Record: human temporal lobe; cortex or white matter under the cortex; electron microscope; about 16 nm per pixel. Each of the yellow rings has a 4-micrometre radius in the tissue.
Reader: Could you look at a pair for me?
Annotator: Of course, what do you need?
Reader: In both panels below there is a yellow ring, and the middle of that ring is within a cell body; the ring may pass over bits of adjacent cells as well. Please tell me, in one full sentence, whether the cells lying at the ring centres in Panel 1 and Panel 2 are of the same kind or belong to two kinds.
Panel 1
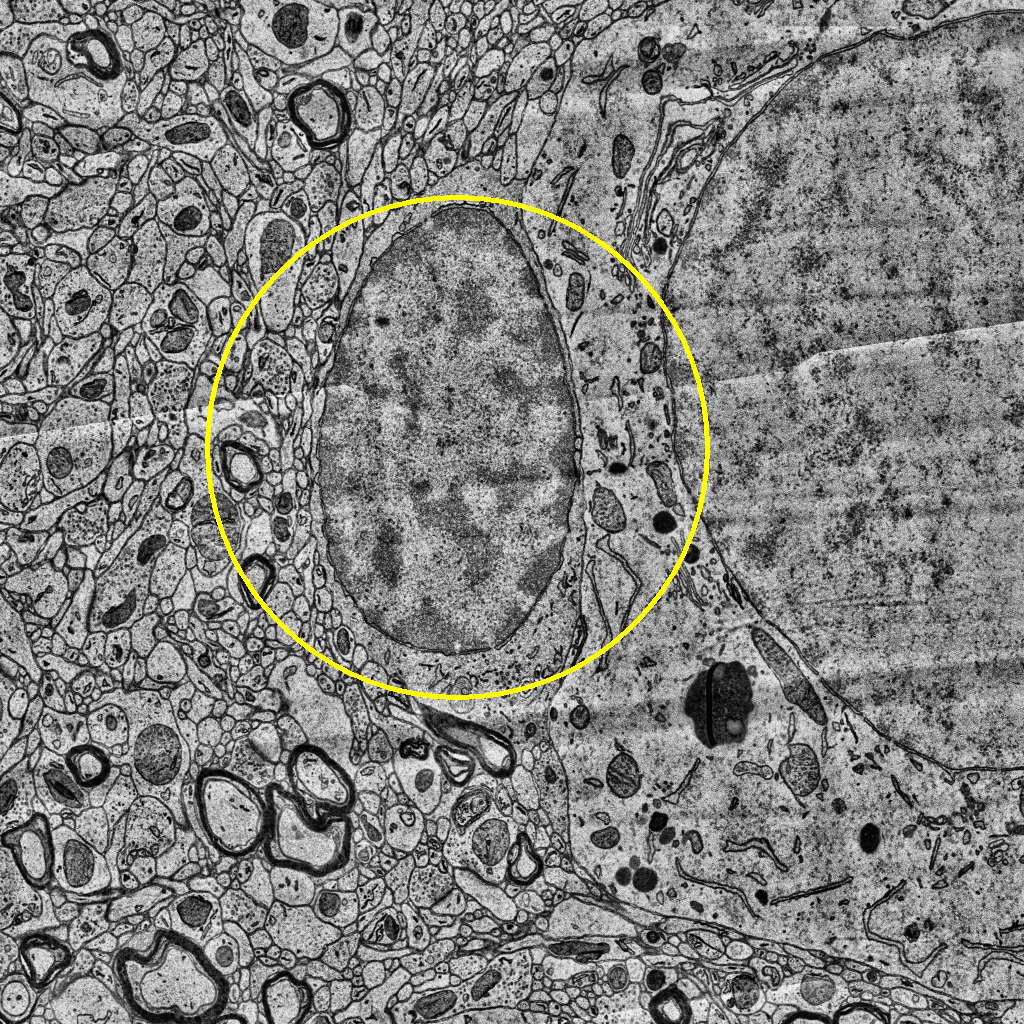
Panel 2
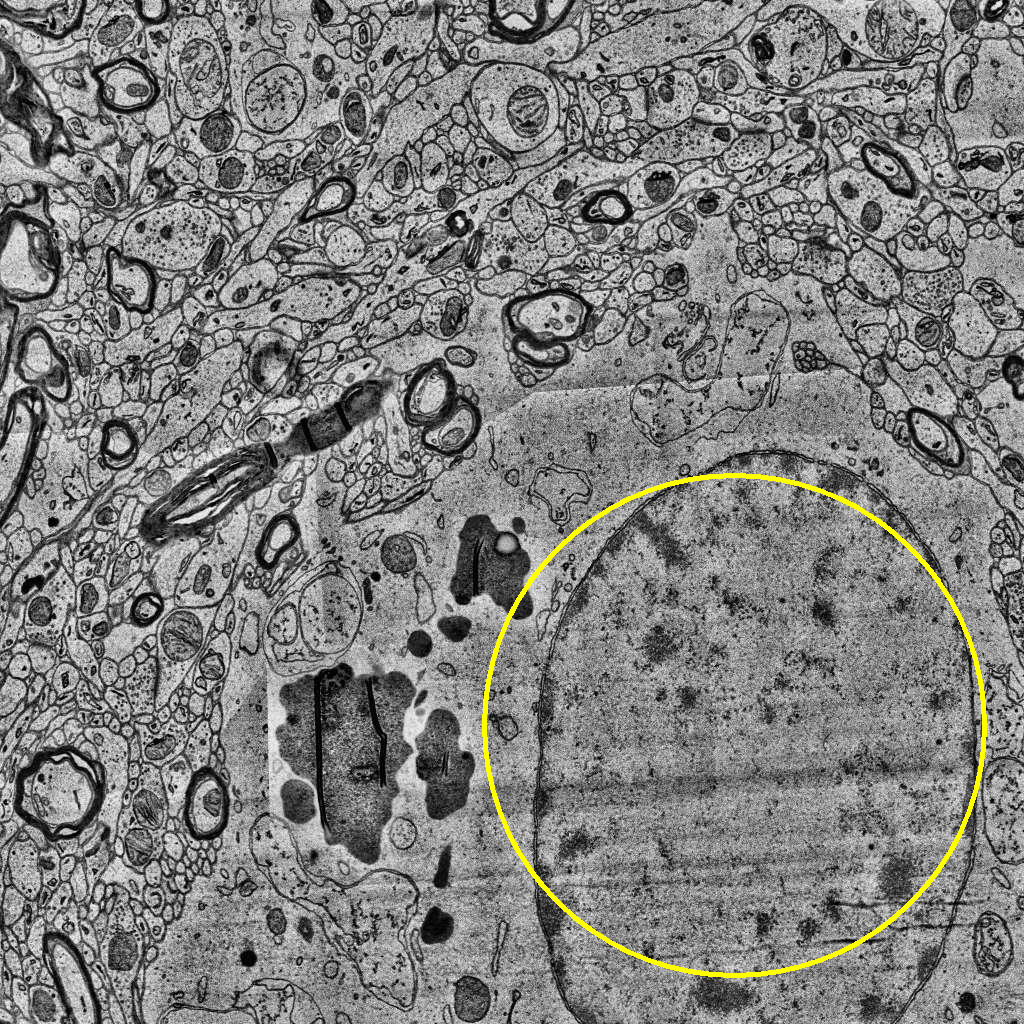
The cell at the ring's centre in Panel 1 and the one in Panel 2 belong to two kinds.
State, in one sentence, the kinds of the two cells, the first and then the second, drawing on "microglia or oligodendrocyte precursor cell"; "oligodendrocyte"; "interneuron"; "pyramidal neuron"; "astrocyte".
So the first is an oligodendrocyte, the second an astrocyte.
